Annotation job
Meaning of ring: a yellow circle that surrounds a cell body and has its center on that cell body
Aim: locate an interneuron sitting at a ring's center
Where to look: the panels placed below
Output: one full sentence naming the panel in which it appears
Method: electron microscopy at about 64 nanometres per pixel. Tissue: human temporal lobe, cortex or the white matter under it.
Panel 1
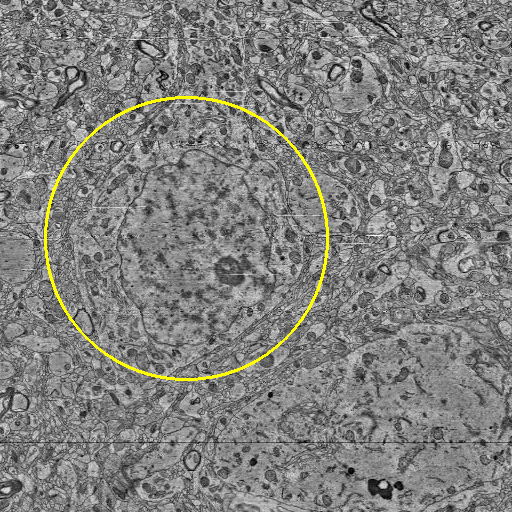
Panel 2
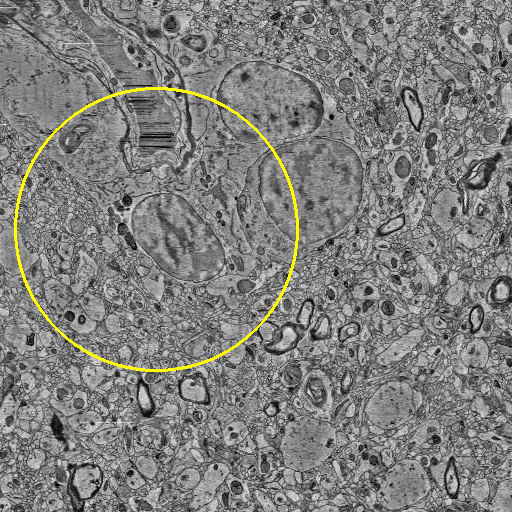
The cell at the center of the ring in panel 1 is the one sought.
